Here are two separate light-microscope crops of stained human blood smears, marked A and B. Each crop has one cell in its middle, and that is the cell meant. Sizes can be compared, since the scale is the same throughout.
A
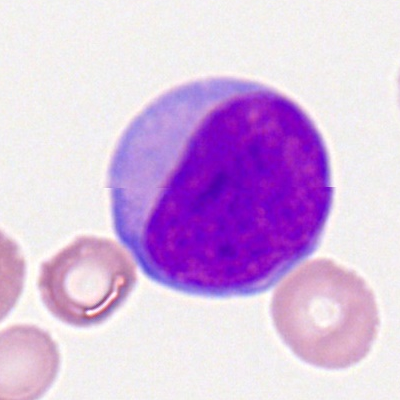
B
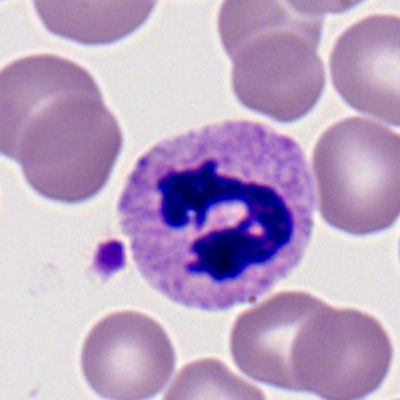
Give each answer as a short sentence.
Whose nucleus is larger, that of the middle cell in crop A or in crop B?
The nucleus in crop A is larger, with about 3 times the area of the one in crop B.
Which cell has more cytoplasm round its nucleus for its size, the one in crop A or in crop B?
Of the two, the nucleus in crop B leaves more room for cytoplasm.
